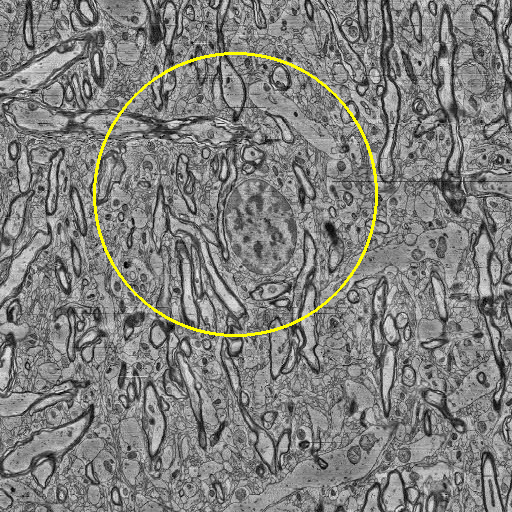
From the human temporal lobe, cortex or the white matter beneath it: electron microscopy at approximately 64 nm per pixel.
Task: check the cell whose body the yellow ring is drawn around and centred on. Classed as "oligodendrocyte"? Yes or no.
No, it belongs to another class.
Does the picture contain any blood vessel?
No, the picture includes no blood vessel.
